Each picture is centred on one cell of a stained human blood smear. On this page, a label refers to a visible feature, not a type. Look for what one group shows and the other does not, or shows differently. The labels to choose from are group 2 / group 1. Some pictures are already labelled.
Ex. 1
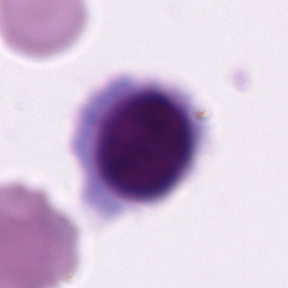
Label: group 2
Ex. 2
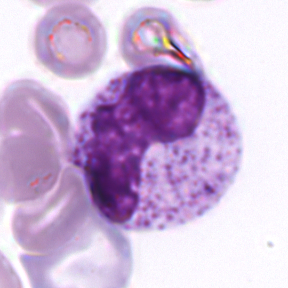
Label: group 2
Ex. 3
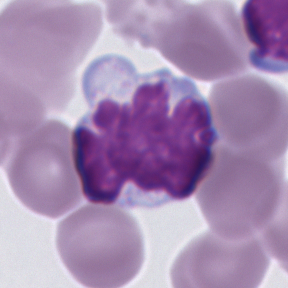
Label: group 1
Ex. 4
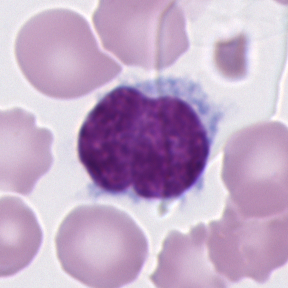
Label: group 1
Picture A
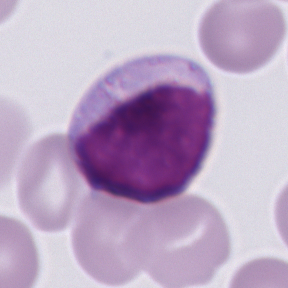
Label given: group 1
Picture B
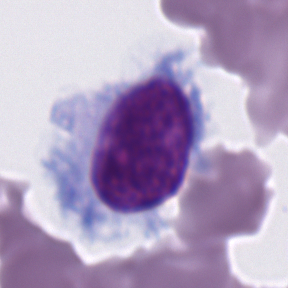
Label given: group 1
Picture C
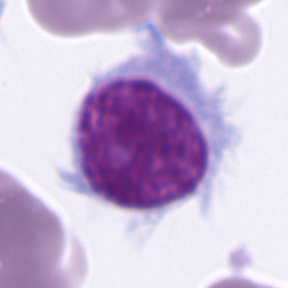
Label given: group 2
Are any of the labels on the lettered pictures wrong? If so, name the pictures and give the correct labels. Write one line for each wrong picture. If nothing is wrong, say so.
A: not group 1 but group 2
B: not group 1 but group 2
